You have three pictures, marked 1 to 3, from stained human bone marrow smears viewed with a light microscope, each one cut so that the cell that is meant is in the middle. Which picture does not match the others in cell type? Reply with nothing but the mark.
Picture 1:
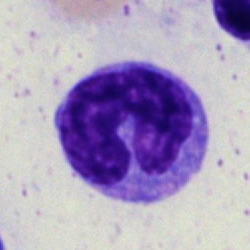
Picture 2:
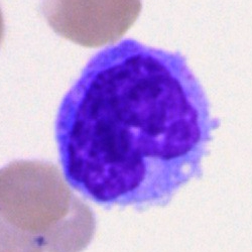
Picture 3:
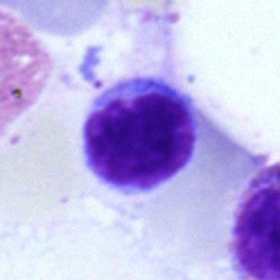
3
